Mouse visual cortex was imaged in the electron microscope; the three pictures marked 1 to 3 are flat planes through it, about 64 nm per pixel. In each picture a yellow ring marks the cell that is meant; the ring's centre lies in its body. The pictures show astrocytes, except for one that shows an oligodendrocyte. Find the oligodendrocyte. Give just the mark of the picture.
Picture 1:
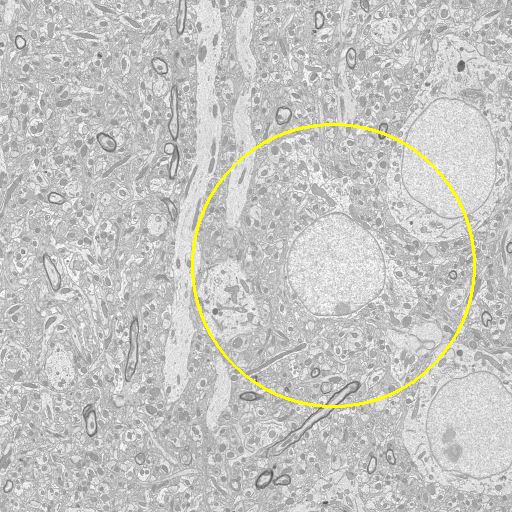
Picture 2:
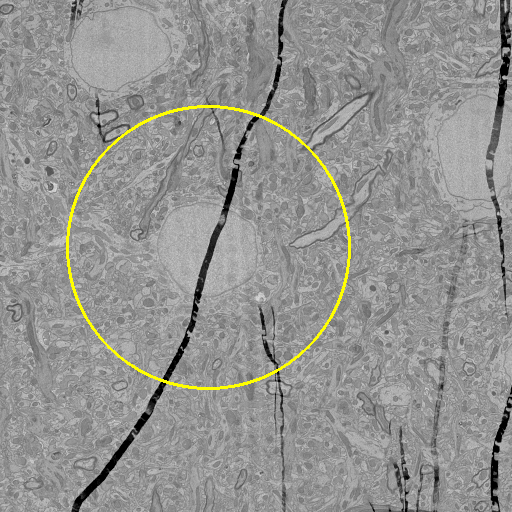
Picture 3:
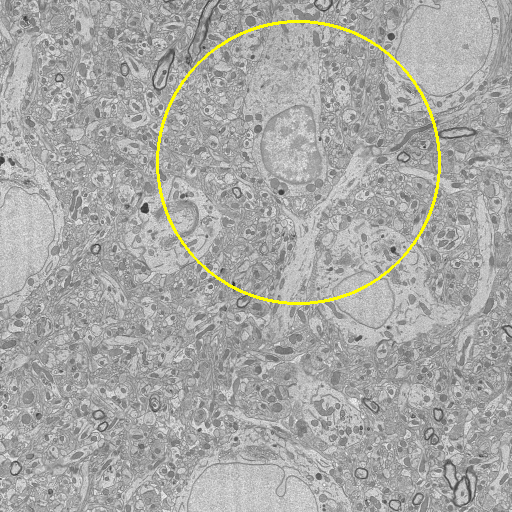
3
